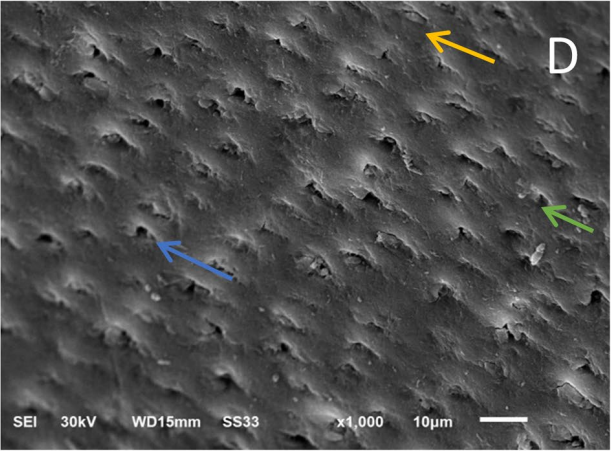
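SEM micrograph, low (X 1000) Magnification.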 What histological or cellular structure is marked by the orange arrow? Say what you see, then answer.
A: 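Occluded dentinal tubules. The surface is smooth with many small shallow pits. The arrowed pit appears filled rather than open.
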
